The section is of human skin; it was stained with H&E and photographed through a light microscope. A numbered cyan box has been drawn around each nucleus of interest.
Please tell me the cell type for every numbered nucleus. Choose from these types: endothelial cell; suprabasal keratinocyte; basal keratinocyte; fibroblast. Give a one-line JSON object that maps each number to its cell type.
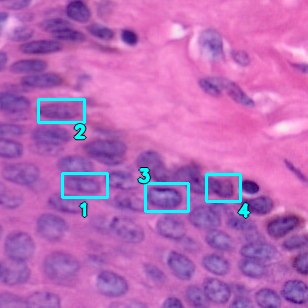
{"1": "suprabasal keratinocyte", "2": "basal keratinocyte", "3": "basal keratinocyte", "4": "basal keratinocyte"}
